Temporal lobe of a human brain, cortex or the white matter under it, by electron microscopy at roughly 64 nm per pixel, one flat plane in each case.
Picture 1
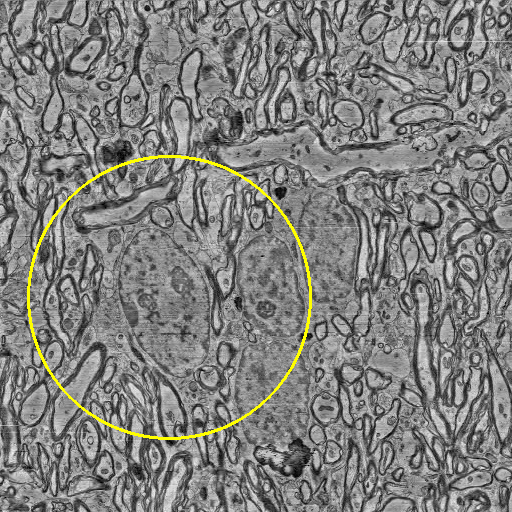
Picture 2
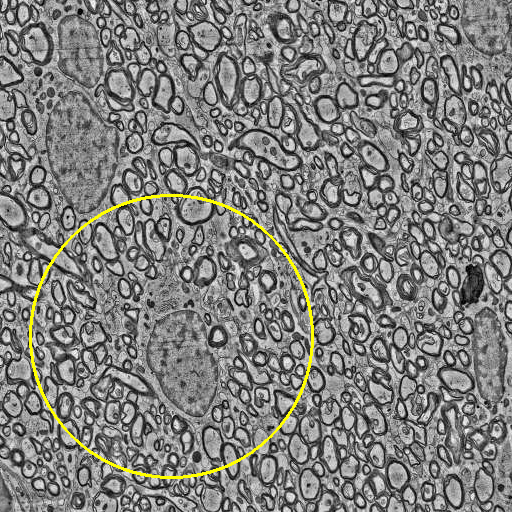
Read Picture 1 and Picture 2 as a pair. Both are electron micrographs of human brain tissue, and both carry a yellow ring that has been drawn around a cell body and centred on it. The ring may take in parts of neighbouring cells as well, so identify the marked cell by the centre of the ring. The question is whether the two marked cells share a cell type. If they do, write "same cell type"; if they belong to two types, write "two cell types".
two cell types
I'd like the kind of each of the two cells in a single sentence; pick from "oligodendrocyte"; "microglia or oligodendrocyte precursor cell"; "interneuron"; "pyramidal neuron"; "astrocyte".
The first ring marks a microglial cell or oligodendrocyte precursor cell, and the second ring marks an oligodendrocyte.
